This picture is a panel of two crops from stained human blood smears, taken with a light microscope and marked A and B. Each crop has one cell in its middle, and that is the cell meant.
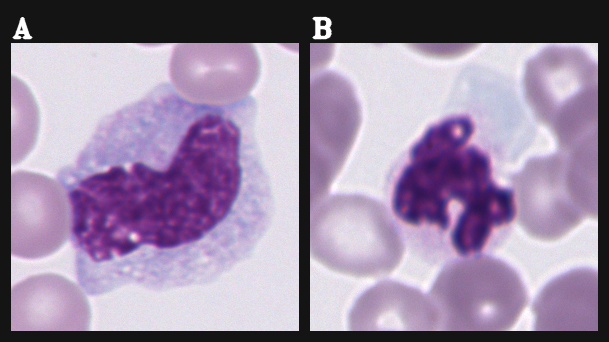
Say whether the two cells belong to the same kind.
no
